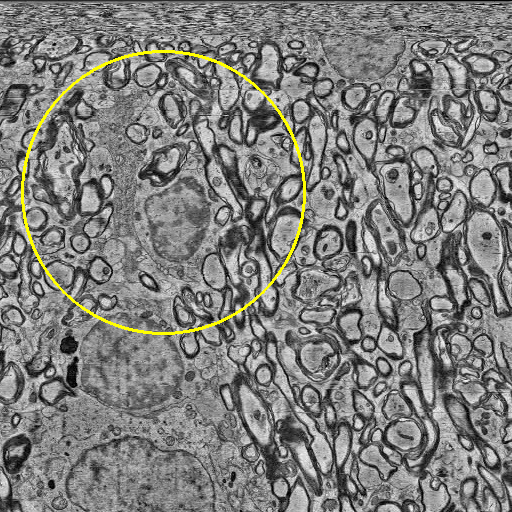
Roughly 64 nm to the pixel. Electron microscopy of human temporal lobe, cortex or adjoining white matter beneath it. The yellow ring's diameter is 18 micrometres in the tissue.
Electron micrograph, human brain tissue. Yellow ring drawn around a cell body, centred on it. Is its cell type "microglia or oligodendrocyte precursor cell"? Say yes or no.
no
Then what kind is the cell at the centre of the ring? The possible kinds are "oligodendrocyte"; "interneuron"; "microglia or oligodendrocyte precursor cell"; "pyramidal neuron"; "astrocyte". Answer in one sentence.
The answer is that the ringed cell is an oligodendrocyte.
